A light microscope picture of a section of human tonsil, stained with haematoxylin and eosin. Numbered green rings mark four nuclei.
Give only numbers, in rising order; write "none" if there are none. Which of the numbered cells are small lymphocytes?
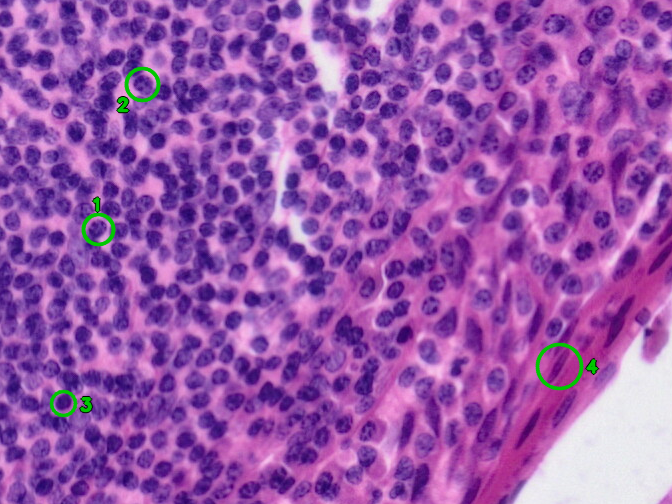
1, 2, 3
